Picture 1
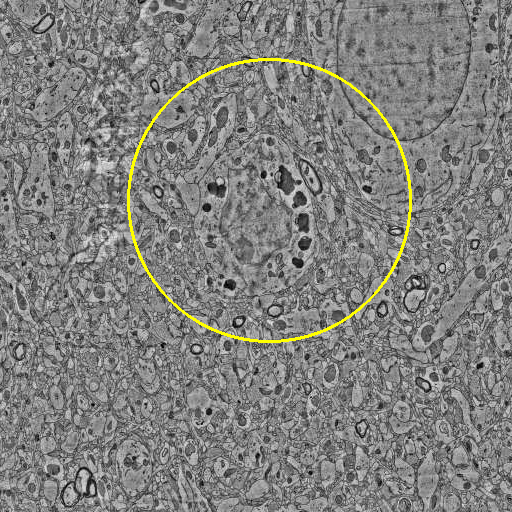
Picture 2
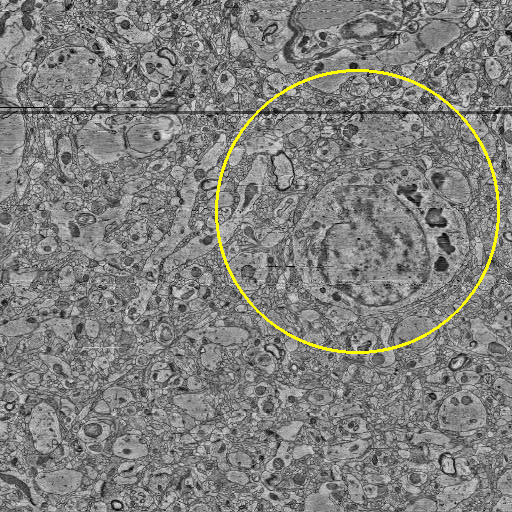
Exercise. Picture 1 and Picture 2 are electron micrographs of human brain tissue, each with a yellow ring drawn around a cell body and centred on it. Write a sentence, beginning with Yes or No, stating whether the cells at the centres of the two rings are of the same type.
Yes, the cells at the centres of both rings are of the same type.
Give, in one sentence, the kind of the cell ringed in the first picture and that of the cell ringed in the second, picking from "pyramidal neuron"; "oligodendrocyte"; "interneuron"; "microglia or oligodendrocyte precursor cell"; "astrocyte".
The first and the second cell are each an interneuron.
